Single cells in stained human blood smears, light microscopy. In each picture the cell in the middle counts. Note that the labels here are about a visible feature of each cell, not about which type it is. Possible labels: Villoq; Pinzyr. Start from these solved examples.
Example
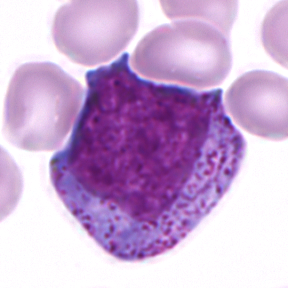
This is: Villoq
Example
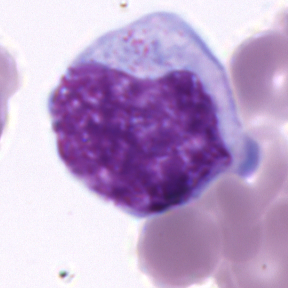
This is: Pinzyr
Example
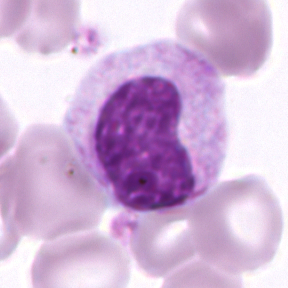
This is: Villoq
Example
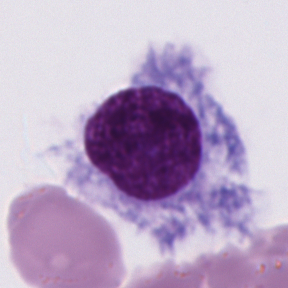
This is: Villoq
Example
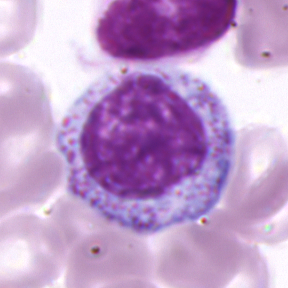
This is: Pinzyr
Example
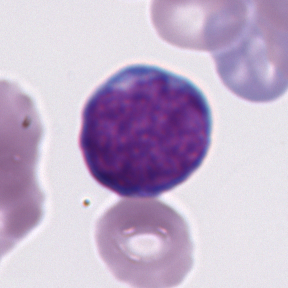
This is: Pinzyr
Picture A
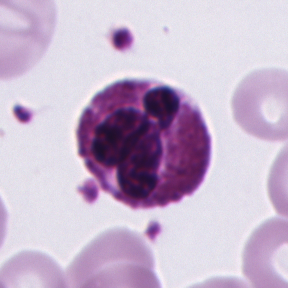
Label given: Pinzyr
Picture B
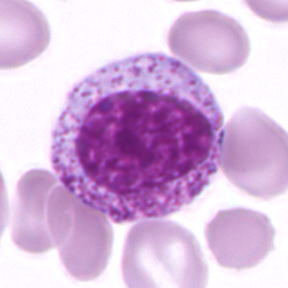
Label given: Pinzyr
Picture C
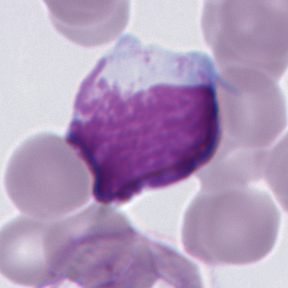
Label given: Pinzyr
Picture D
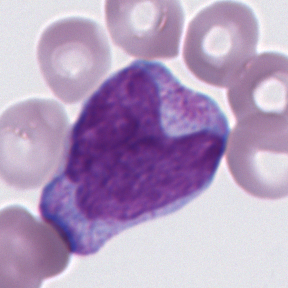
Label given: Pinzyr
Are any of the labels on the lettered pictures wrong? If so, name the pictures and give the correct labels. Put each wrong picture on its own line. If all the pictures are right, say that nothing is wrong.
Wrong: A (Pinzyr); correct: Villoq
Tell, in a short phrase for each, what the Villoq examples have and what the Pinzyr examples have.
Villoq: abundant cytoplasm; Pinzyr: scant cytoplasm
